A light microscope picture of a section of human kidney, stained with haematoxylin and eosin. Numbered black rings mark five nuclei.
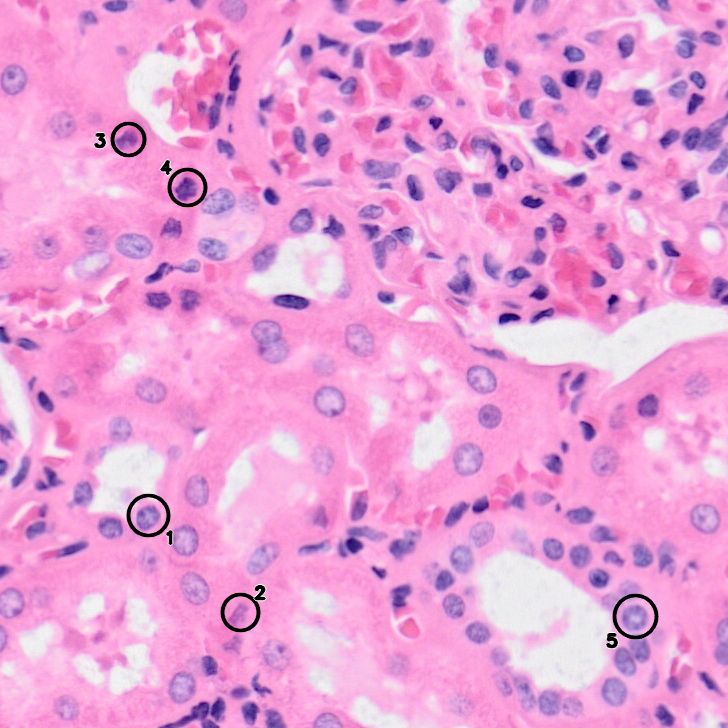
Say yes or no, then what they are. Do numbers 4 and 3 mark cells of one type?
Yes, cells 4 and 3 have the same identity; both are proximal tubule cells.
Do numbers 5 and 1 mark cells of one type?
No, cell 5 is a collecting duct cell, and as for cell 1, it is a loop of Henle or distal tubule cell.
